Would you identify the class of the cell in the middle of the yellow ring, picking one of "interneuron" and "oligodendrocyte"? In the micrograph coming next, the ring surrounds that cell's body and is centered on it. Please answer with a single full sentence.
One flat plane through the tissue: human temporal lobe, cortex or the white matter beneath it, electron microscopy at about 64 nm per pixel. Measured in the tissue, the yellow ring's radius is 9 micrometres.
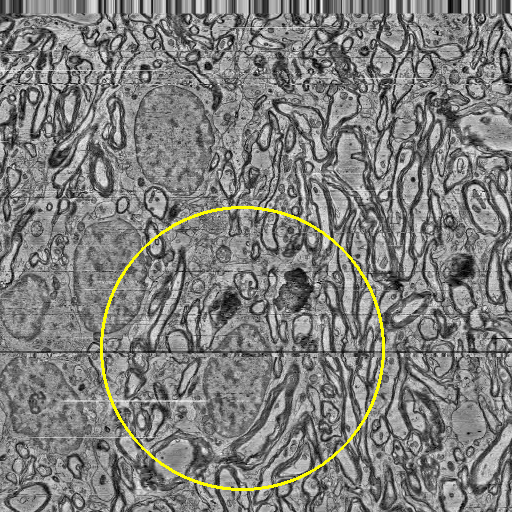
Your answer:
In the micrograph, it is an oligodendrocyte whose body lies at the ring's center.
